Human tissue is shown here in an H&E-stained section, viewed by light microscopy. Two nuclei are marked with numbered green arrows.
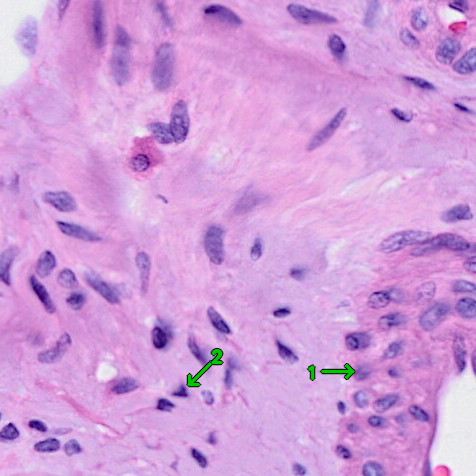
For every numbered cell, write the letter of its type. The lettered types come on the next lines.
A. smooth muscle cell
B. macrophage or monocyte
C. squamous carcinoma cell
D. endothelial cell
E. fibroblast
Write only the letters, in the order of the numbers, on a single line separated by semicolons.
A; E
